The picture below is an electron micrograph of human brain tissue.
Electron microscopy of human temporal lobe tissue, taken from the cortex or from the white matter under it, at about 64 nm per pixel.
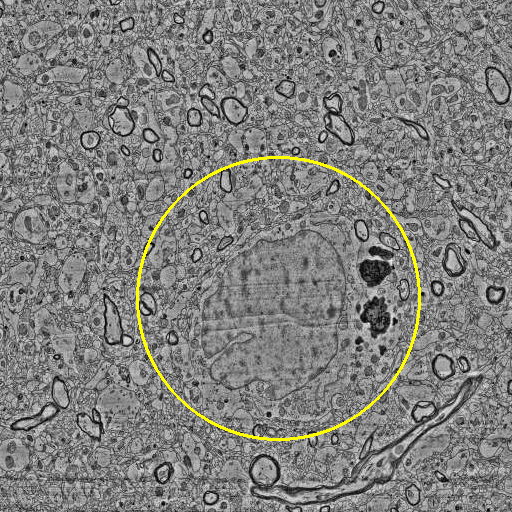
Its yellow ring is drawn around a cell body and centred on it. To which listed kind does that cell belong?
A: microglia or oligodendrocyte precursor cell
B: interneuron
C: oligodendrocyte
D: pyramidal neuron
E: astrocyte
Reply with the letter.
B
